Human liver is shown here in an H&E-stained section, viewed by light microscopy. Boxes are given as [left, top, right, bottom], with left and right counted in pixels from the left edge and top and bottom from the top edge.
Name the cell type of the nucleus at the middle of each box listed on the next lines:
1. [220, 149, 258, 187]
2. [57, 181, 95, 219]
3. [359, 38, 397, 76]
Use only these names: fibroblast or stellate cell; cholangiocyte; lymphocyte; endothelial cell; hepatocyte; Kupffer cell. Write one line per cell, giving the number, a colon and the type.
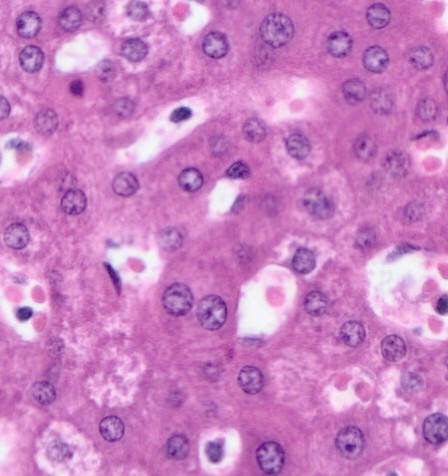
1: fibroblast or stellate cell
2: hepatocyte
3: hepatocyte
